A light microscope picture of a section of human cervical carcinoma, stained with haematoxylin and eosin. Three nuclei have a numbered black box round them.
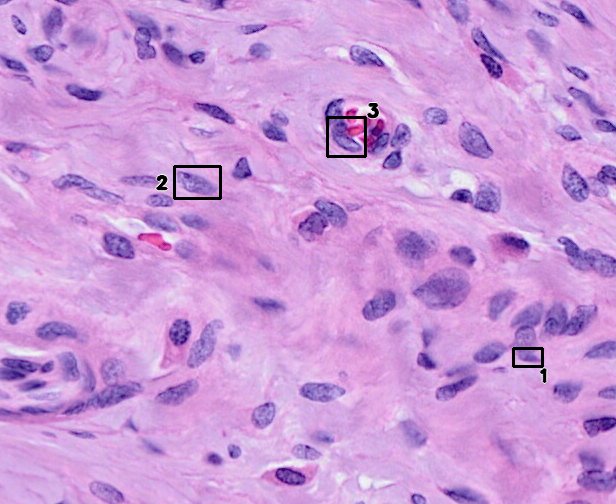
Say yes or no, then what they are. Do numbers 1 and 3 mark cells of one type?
No, what is marked as cell 1 is a fibroblast, and what is marked as cell 3 is an endothelial cell.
